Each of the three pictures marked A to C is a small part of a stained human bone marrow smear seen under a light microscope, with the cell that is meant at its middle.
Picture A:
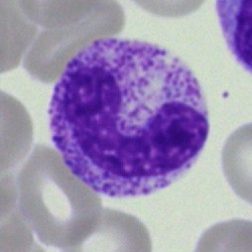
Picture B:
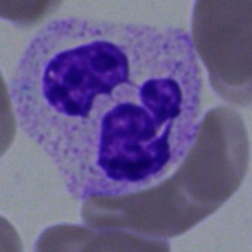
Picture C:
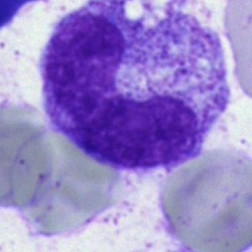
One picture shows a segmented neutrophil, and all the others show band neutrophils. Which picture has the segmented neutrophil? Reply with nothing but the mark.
B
